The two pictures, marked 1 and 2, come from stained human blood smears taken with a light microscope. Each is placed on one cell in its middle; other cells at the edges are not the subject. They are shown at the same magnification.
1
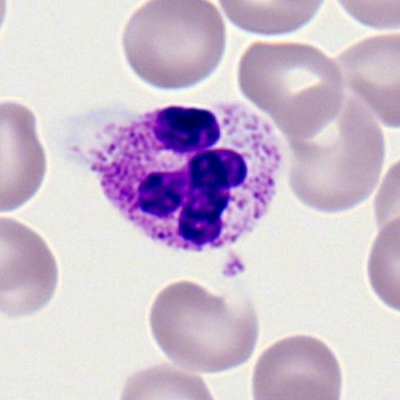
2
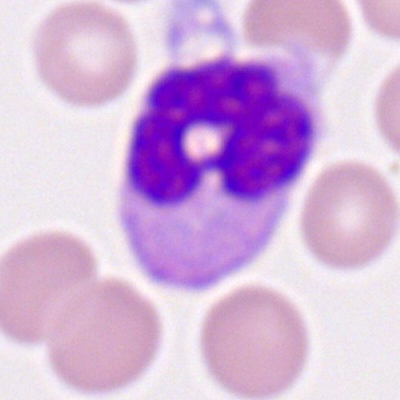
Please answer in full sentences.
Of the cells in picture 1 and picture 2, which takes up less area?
The cell in picture 1 is smaller; the one in picture 2 has about 1.5 times its area.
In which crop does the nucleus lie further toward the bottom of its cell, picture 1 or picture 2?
Seen within its cell, the nucleus in picture 1 lies further toward the bottom.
